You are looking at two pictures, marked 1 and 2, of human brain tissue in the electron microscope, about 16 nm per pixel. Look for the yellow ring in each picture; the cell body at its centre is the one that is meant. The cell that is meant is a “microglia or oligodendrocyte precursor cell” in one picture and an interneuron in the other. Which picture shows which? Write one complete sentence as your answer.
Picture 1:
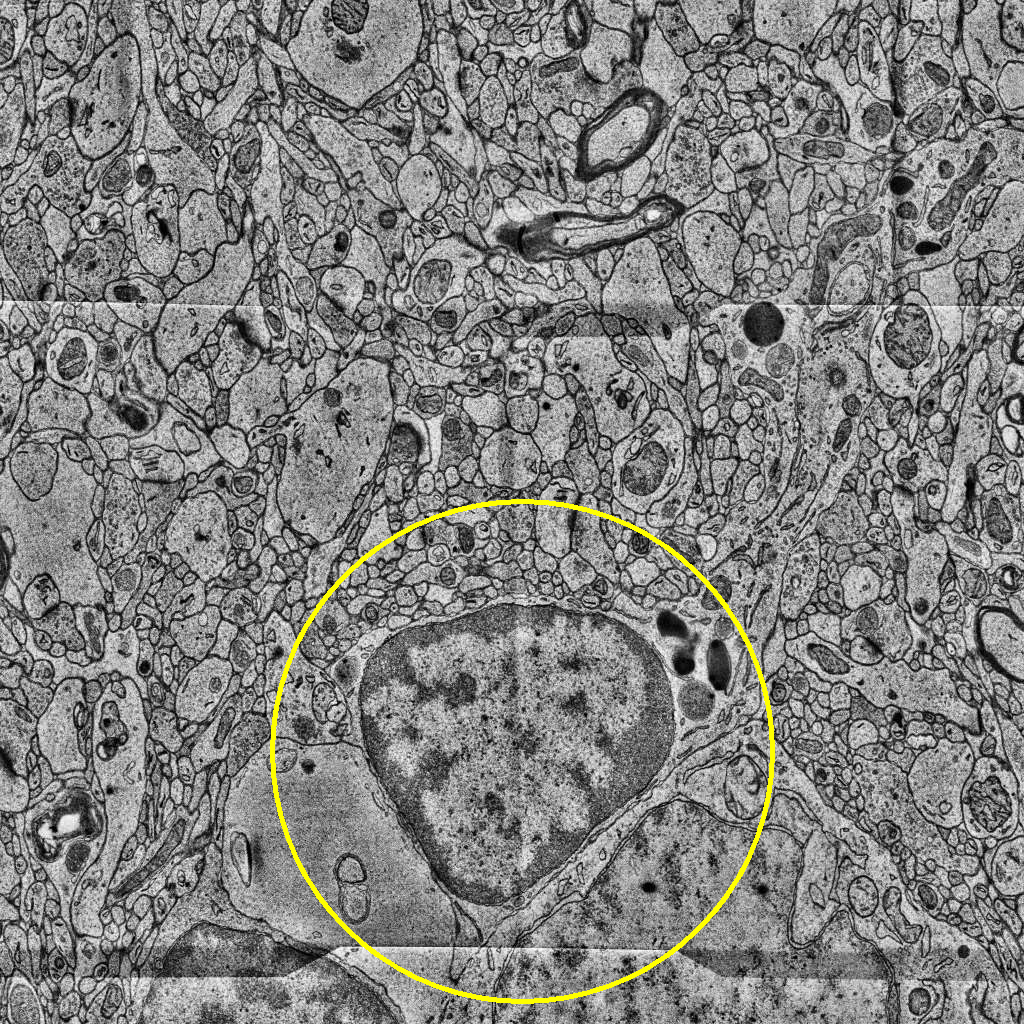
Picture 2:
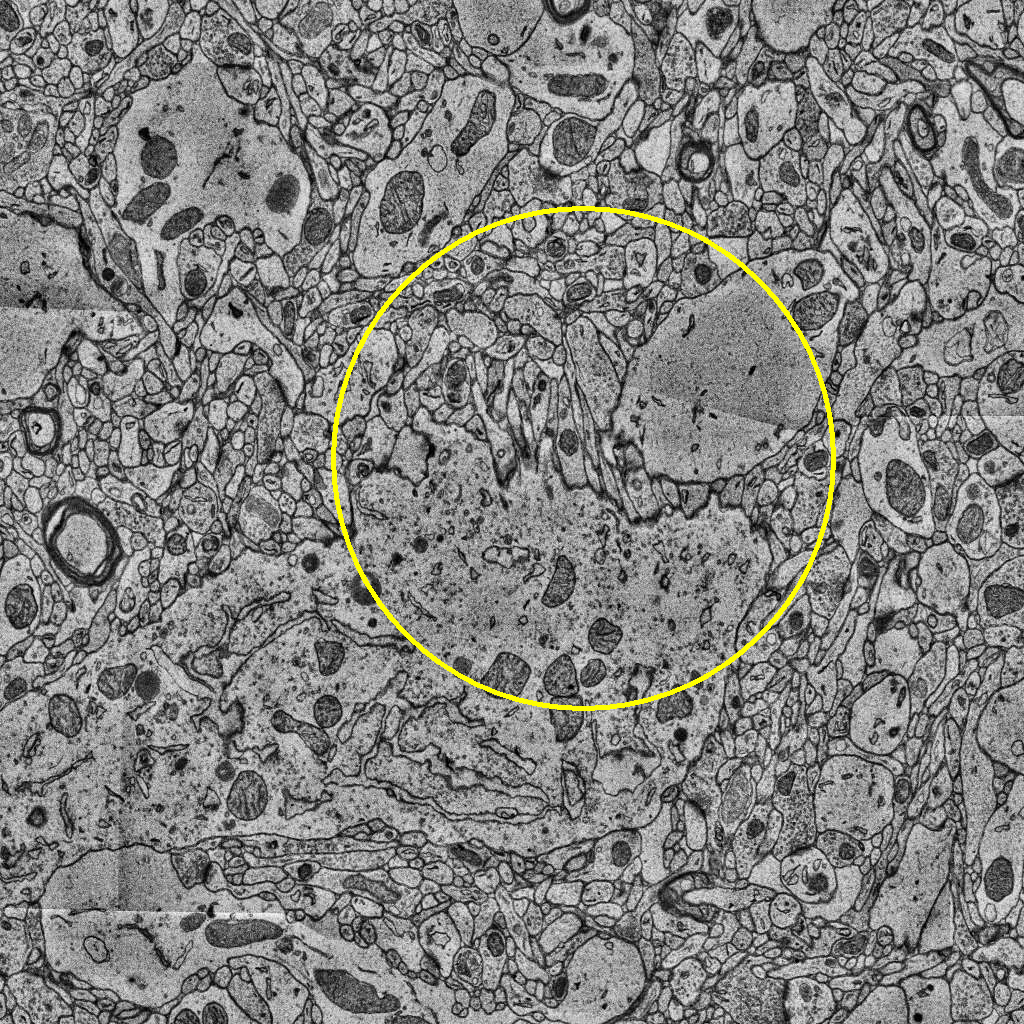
It is picture 1 that shows a “microglia or oligodendrocyte precursor cell”, and picture 2 that shows an interneuron.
